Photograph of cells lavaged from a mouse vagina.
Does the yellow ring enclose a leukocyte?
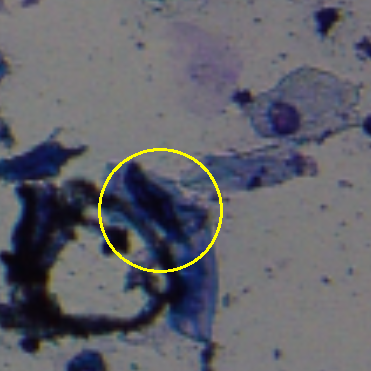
No. The ring encloses a cornified epithelial cell.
